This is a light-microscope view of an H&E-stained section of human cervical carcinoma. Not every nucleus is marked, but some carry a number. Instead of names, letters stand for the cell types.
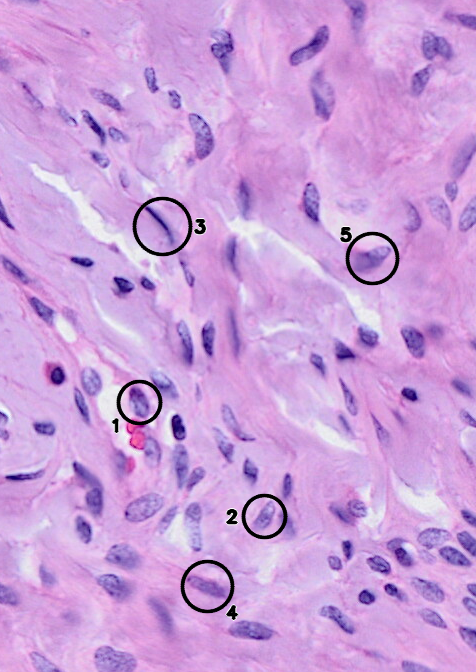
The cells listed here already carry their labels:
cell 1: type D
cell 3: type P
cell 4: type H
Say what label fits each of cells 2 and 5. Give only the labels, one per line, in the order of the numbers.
type P
type P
